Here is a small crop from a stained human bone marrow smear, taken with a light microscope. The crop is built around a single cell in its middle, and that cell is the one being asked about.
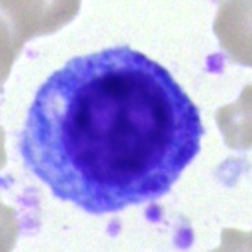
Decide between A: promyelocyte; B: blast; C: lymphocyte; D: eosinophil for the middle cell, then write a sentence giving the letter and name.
The correct option here is A; the middle cell is a promyelocyte.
